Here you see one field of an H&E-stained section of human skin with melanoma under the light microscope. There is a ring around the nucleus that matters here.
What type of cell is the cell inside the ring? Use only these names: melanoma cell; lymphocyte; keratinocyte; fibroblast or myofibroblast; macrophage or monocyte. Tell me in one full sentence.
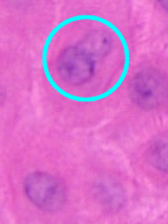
In the tissue at hand, the cell inside the ring is a keratinocyte.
